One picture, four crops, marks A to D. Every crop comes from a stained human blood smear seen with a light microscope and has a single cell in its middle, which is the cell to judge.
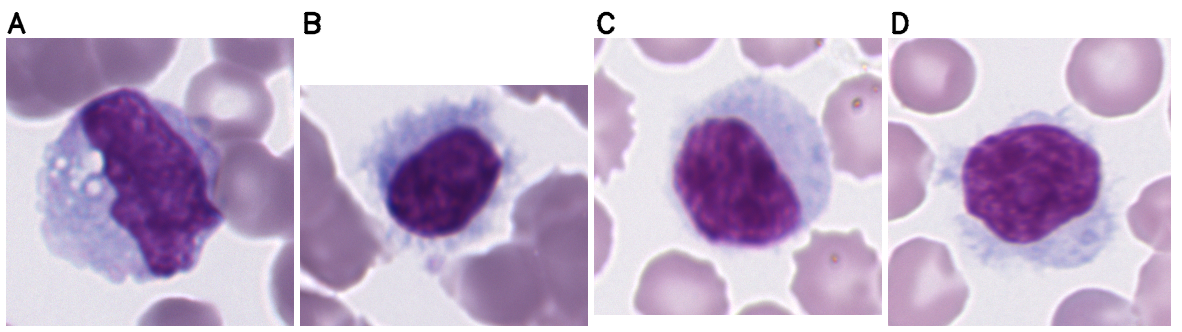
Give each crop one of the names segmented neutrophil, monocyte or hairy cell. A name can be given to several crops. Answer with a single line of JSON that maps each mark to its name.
{"A": "monocyte", "B": "hairy cell", "C": "hairy cell", "D": "hairy cell"}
